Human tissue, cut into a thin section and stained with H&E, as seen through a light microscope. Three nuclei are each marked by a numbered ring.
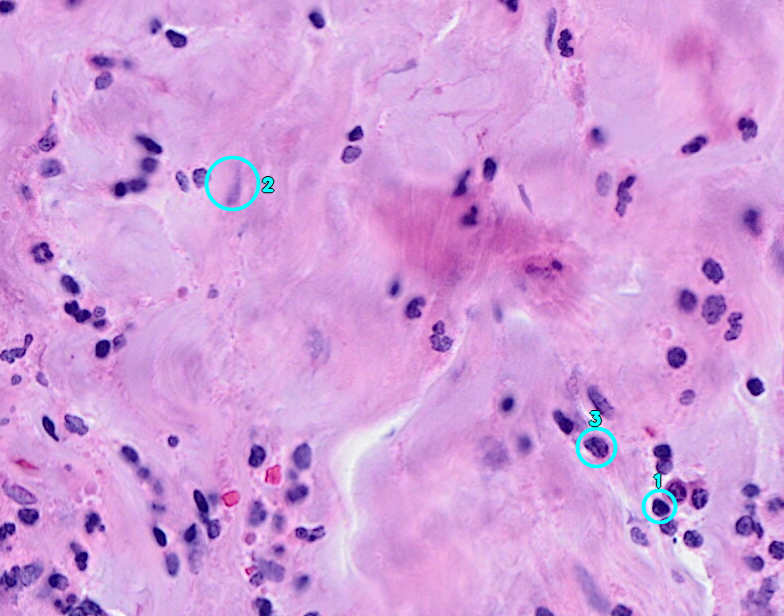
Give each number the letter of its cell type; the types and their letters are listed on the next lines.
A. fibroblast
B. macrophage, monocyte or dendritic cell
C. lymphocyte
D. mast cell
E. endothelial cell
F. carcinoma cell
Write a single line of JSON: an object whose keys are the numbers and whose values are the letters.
{"1": "C", "2": "A", "3": "C"}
